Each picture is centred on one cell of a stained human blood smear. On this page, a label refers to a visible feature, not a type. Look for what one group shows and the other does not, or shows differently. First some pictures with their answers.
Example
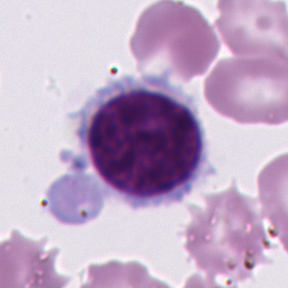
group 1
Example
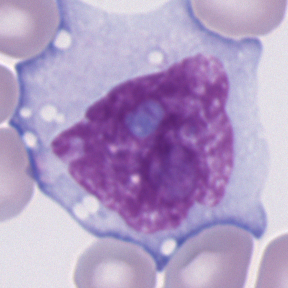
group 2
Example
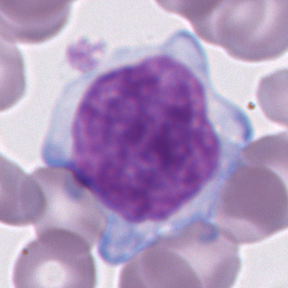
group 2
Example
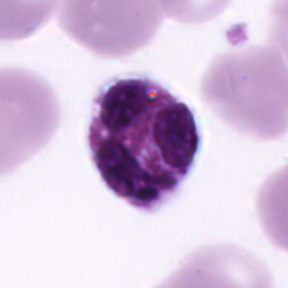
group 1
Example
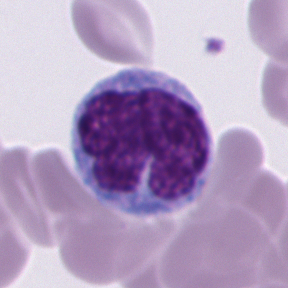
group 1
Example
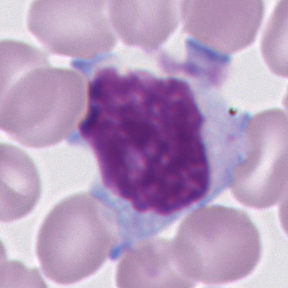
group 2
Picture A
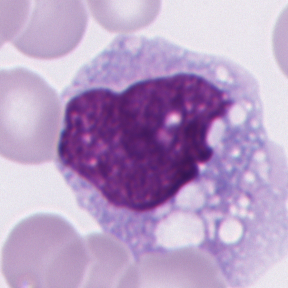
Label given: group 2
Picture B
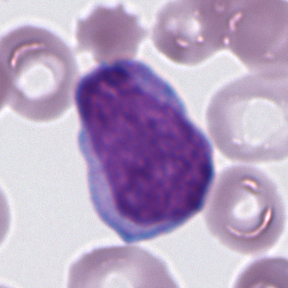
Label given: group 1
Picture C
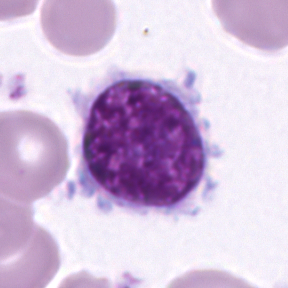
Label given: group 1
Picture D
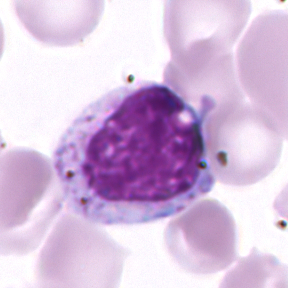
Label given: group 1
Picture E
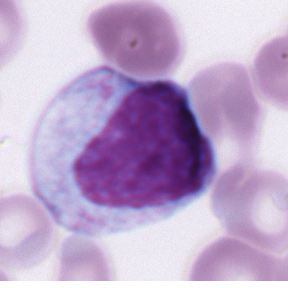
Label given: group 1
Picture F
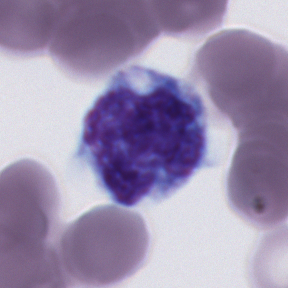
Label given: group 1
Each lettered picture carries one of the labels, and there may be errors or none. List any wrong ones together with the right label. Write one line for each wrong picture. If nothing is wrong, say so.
E: group 2, not group 1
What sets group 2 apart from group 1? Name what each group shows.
In group 2: abundant cytoplasm. In group 1: scant cytoplasm.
